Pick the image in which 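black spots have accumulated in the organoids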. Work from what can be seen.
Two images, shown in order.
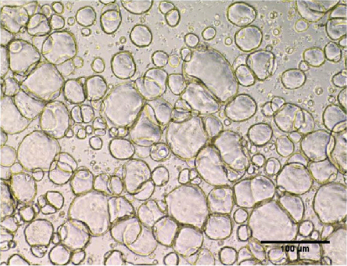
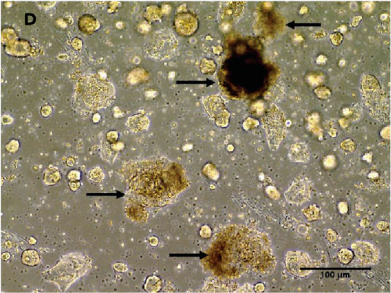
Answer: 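The second image. Second image: several organoids have dark black to brown patches. First image: organoids are clear, thin-walled cysts with no dark patches.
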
